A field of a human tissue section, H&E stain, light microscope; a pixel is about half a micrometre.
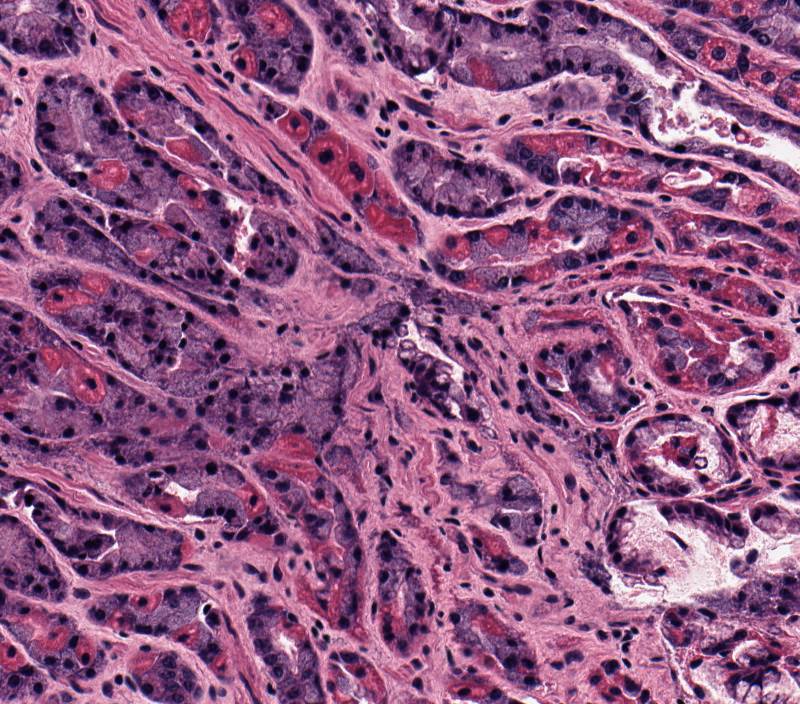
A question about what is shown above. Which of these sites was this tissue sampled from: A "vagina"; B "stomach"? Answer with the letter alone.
B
